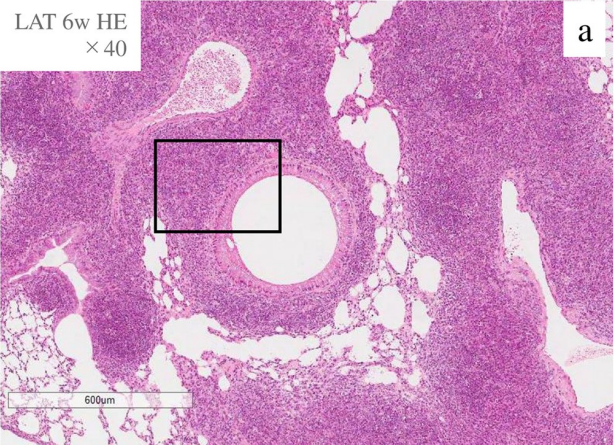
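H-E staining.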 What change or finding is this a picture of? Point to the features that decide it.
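Dense purple cellular cuffs surround a round airway lumen. Similar dense cellular sheets expand the tissue between thin-walled air spaces.
Inflammatory cells around the bronchi.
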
